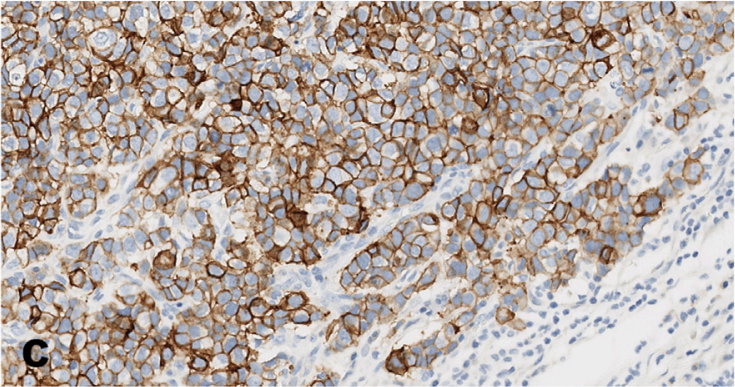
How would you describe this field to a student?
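This is an invasive carcinoma made of solid sheets and nests of tumor cells separated by thin strands of fibrous stroma, with a looser stromal band containing small dark nuclei at the lower right. Nearly every tumor cell is outlined by a strong, complete brown ring along its membrane, giving a chicken-wire pattern, while the round to oval nuclei stay pale blue. The stromal cells show no brown outline.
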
